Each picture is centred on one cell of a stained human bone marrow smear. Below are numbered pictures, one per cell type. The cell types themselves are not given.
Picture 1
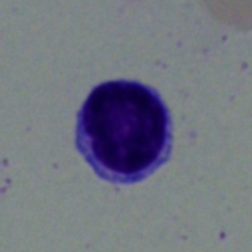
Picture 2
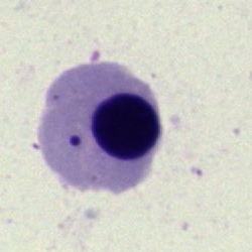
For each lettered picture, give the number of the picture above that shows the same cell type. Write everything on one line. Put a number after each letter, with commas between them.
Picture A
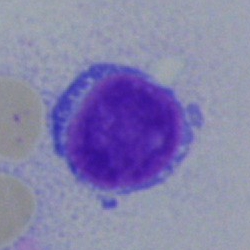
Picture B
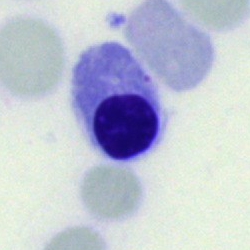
A 1, B 2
